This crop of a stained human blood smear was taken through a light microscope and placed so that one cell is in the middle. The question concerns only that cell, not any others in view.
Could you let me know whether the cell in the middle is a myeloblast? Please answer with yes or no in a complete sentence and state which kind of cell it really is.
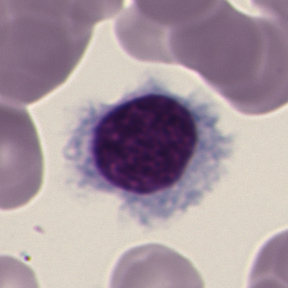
No, the central cell is a hairy cell, not a myeloblast.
